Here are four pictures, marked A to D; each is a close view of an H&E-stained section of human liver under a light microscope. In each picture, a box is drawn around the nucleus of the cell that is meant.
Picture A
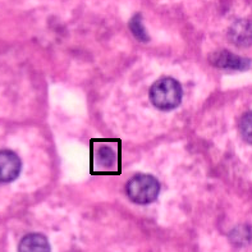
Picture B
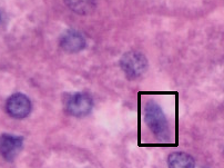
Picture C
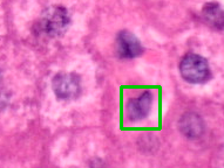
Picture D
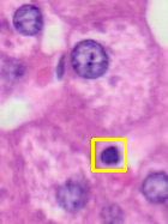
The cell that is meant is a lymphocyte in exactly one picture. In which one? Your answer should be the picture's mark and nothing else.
D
